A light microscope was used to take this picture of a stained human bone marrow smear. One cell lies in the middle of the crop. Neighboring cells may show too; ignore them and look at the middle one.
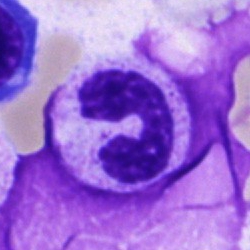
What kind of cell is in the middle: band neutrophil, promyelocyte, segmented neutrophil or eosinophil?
band neutrophil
